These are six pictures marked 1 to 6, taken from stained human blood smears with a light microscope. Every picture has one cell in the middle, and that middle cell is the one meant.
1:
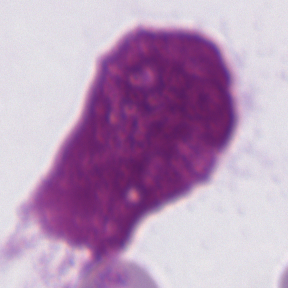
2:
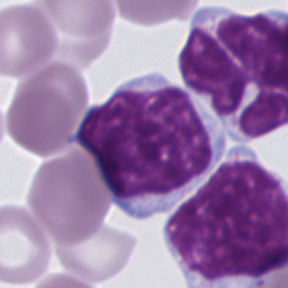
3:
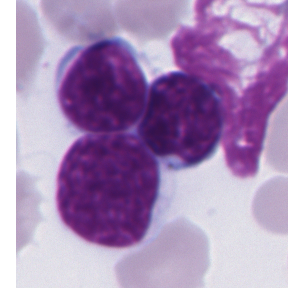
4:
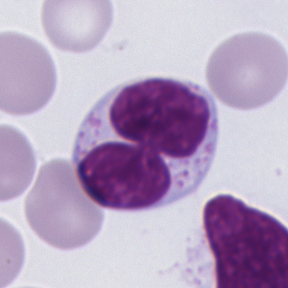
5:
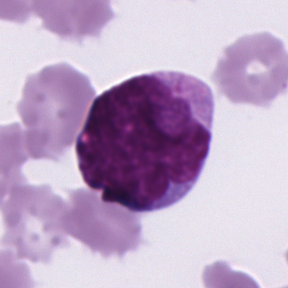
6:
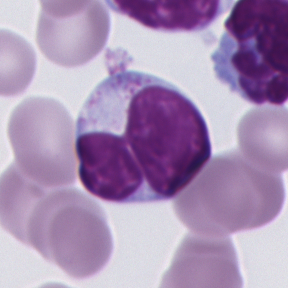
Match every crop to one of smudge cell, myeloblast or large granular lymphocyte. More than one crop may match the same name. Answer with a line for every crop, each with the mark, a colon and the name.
1: smudge cell
2: large granular lymphocyte
3: myeloblast
4: large granular lymphocyte
5: myeloblast
6: large granular lymphocyte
